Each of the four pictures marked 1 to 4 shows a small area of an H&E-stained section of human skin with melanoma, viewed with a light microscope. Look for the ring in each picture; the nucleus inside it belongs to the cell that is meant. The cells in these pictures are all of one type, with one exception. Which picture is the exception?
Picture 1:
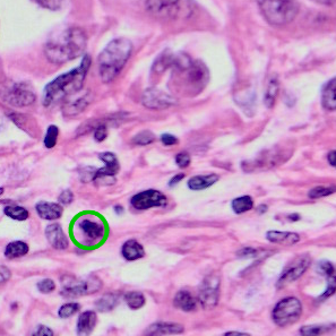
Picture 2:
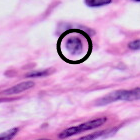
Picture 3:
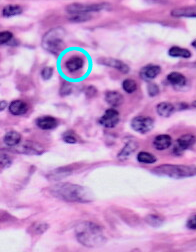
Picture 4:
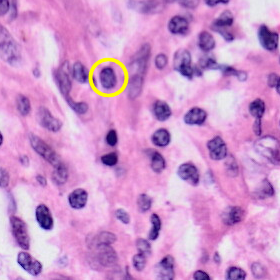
4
